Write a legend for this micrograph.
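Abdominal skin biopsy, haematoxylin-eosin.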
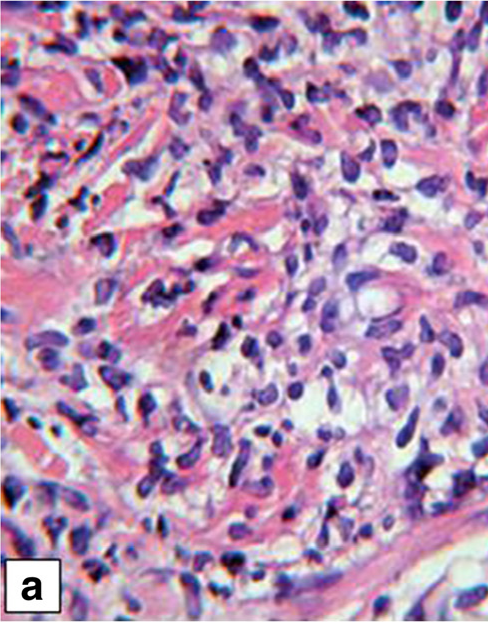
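This is dermis at high power, crowded with inflammatory cells lying between pink strands of collagen. The nuclei are small and dark, and many are irregular, bent or lobed rather than round. The cells lie densely packed in a loose, pale background, some around small vessel-like spaces. Such a dense infiltrate of cells with irregular dark nuclei fits an infiltrate made up mainly of neutrophils.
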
